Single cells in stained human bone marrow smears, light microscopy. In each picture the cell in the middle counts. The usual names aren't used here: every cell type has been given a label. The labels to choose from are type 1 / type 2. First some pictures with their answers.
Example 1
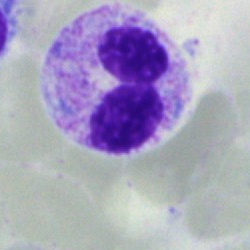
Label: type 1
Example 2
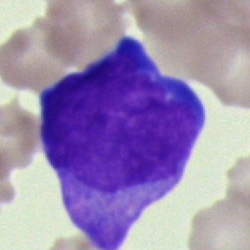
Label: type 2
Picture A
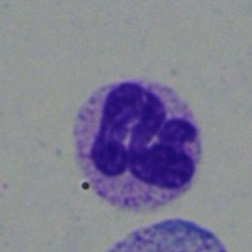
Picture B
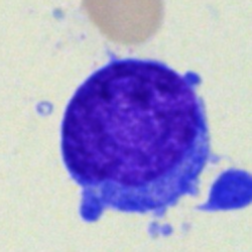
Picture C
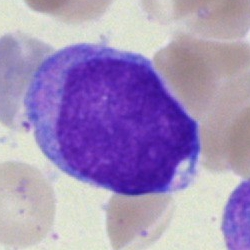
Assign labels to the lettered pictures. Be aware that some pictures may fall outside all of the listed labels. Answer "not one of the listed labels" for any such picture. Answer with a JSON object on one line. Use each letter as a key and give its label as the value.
{"A": "type 1", "B": "type 2", "C": "type 2"}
